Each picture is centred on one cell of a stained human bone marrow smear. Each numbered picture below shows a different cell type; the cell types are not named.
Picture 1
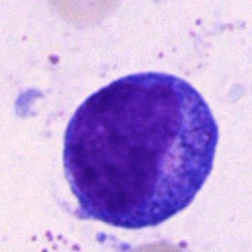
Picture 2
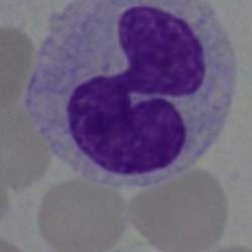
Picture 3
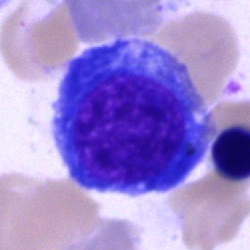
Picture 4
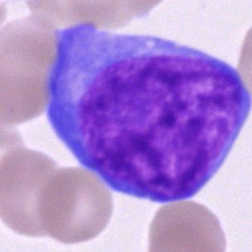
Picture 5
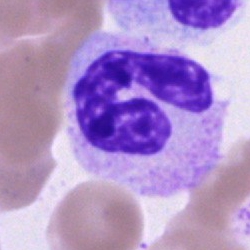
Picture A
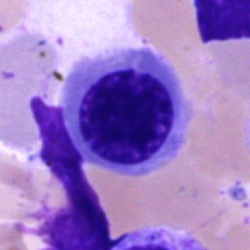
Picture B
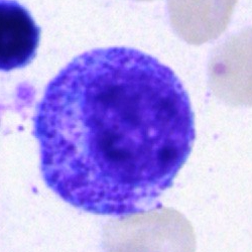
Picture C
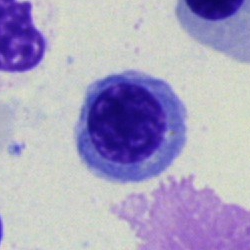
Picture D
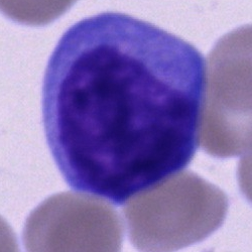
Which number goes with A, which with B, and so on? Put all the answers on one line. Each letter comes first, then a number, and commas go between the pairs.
A 3, B 1, C 3, D 4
